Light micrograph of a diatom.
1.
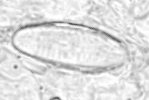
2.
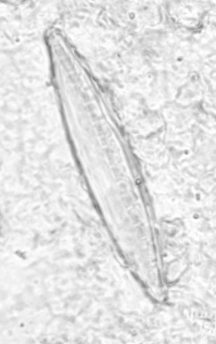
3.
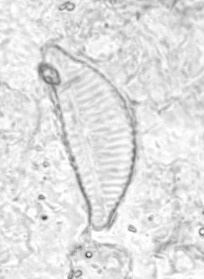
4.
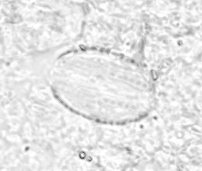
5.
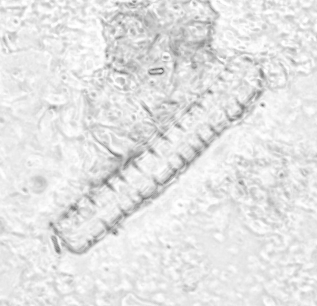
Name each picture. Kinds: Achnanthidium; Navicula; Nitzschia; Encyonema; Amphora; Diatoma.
1. Achnanthidium
2. Nitzschia
3. Encyonema
4. Amphora
5. Diatoma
